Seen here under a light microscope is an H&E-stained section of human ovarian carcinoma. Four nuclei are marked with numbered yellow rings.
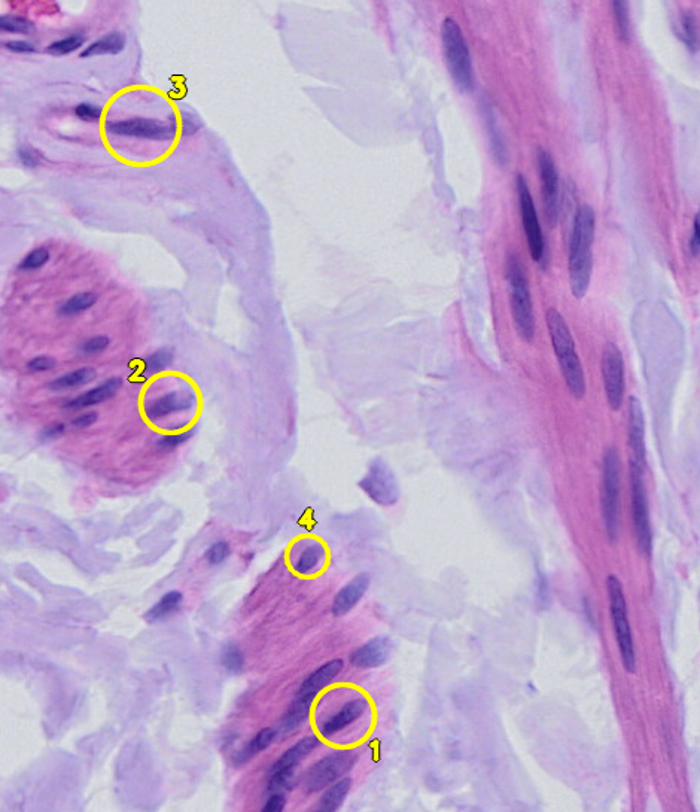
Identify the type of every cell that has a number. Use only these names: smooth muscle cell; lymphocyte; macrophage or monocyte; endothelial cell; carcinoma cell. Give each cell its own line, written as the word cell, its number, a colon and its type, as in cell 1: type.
cell 1: smooth muscle cell
cell 2: smooth muscle cell
cell 3: endothelial cell
cell 4: smooth muscle cell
